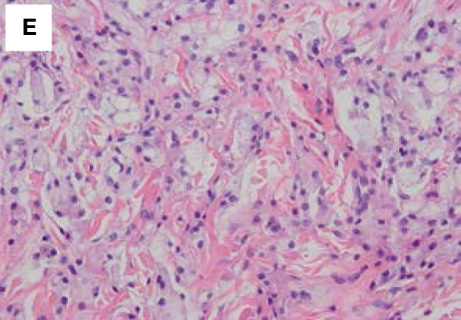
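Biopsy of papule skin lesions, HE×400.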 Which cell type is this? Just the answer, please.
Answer: Foamy macrophages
